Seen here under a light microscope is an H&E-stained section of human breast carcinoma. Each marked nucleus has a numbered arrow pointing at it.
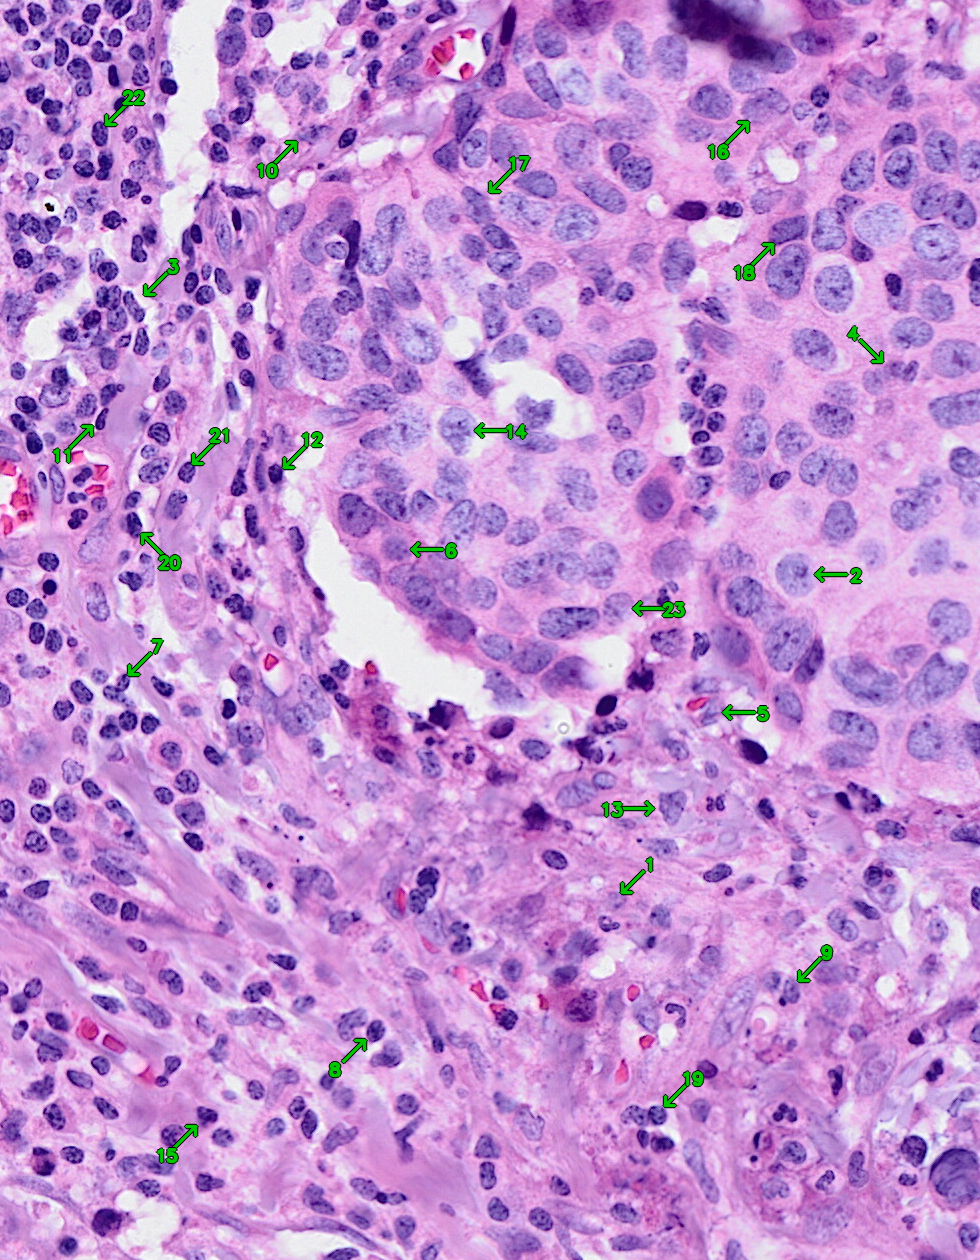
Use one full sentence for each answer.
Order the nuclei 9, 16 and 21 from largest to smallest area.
By area, largest first, they run 16, 9, 21.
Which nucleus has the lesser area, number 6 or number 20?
It is nucleus 20; nucleus 6 has about 2 times its area.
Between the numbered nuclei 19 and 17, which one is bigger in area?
Nucleus 17 covers more area, about 2 times as much as nucleus 19.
